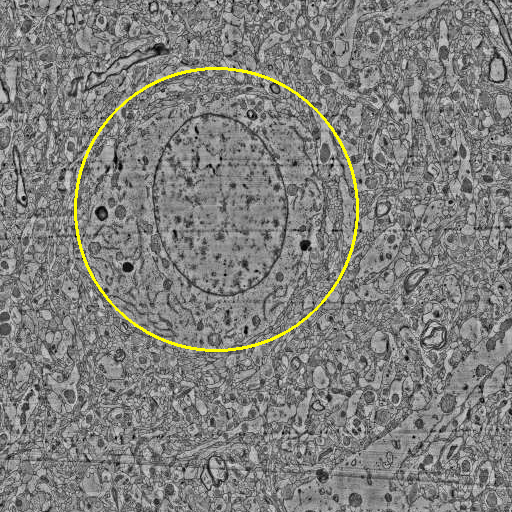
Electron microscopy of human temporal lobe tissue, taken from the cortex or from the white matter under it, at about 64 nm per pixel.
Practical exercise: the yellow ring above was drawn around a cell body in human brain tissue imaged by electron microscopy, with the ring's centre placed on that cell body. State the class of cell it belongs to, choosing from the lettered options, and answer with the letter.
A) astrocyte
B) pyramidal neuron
B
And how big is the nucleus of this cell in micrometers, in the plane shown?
The nucleus is approximately 12 micrometers long by 9 micrometers wide in this plane.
